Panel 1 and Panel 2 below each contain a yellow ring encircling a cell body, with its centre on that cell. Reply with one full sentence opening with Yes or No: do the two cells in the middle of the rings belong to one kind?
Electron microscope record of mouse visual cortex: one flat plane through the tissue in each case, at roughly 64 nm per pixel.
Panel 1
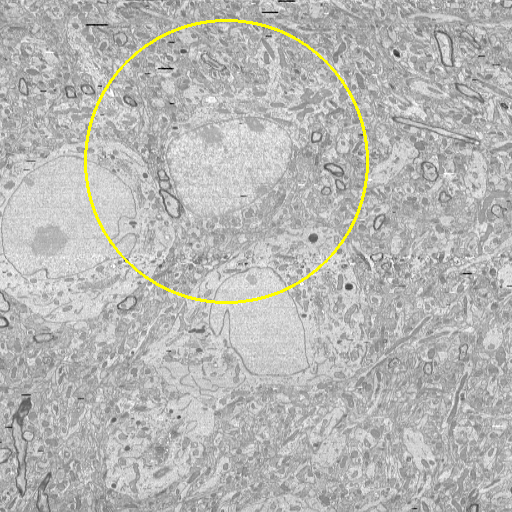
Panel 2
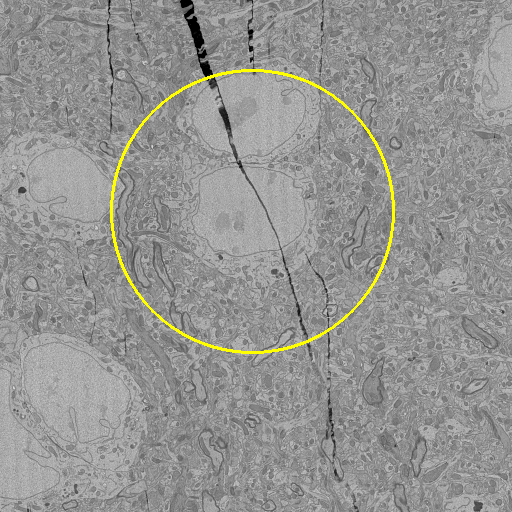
No, the cells at the middle of the Panel 1 ring and the Panel 2 ring are of two kinds.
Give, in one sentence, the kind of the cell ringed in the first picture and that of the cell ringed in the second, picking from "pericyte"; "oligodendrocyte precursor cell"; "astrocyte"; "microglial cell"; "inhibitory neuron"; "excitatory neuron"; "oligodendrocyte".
For the first picture it is an astrocyte; for the second, an excitatory neuron.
